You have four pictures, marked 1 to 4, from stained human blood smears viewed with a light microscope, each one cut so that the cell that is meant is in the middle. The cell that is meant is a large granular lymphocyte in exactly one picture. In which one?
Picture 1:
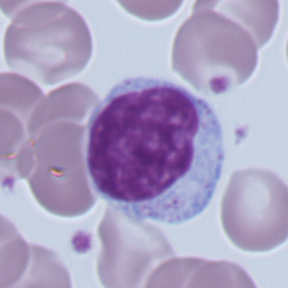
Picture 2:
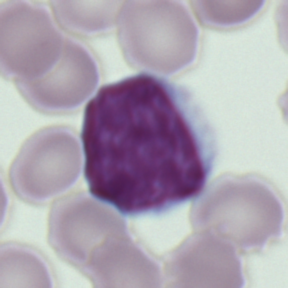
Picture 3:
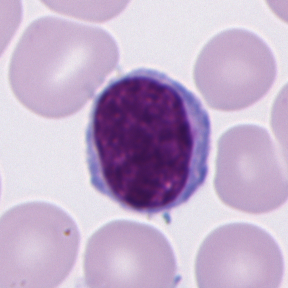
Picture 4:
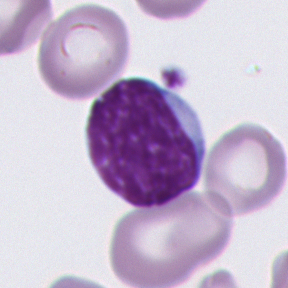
1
